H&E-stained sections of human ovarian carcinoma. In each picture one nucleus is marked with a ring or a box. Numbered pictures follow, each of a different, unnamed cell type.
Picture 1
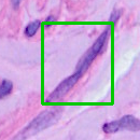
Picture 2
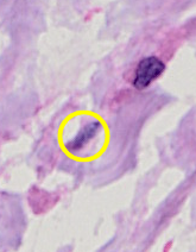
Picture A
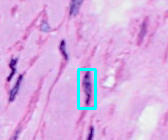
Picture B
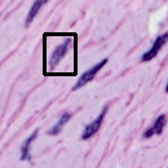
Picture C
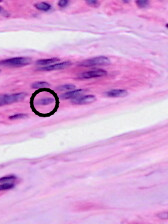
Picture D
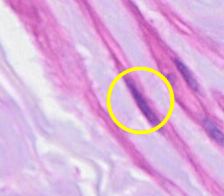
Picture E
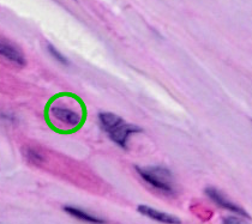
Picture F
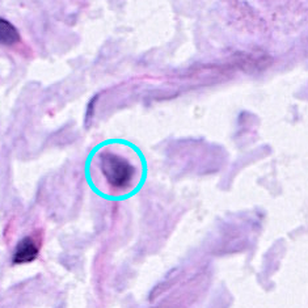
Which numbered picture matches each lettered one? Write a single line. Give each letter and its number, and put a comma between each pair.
A 2, B 2, C 1, D 1, E 1, F 2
